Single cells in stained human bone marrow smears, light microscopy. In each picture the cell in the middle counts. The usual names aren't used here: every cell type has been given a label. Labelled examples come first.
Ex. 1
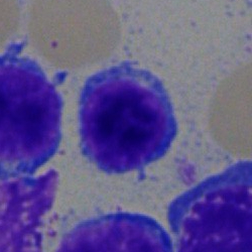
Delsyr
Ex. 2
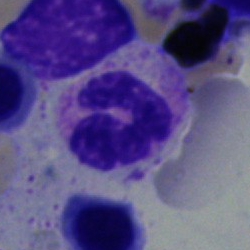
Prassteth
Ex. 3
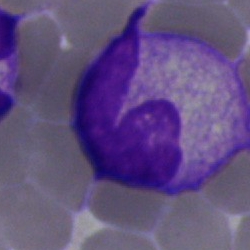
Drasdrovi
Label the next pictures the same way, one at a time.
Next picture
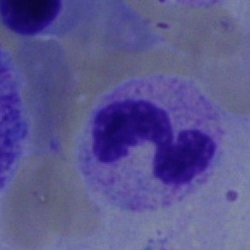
Prassteth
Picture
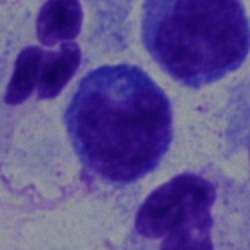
Delsyr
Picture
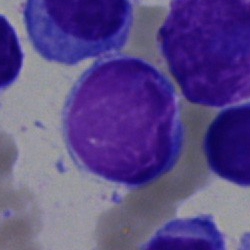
Delsyr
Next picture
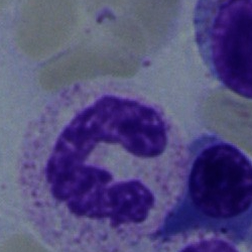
Drasdrovi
